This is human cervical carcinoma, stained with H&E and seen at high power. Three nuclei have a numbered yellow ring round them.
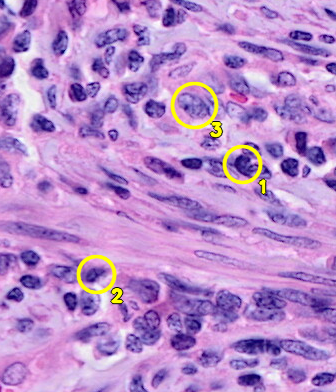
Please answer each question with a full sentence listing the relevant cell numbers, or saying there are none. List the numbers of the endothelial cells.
Only cell 3 is an endothelial cell; none of the other numbered cells is.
